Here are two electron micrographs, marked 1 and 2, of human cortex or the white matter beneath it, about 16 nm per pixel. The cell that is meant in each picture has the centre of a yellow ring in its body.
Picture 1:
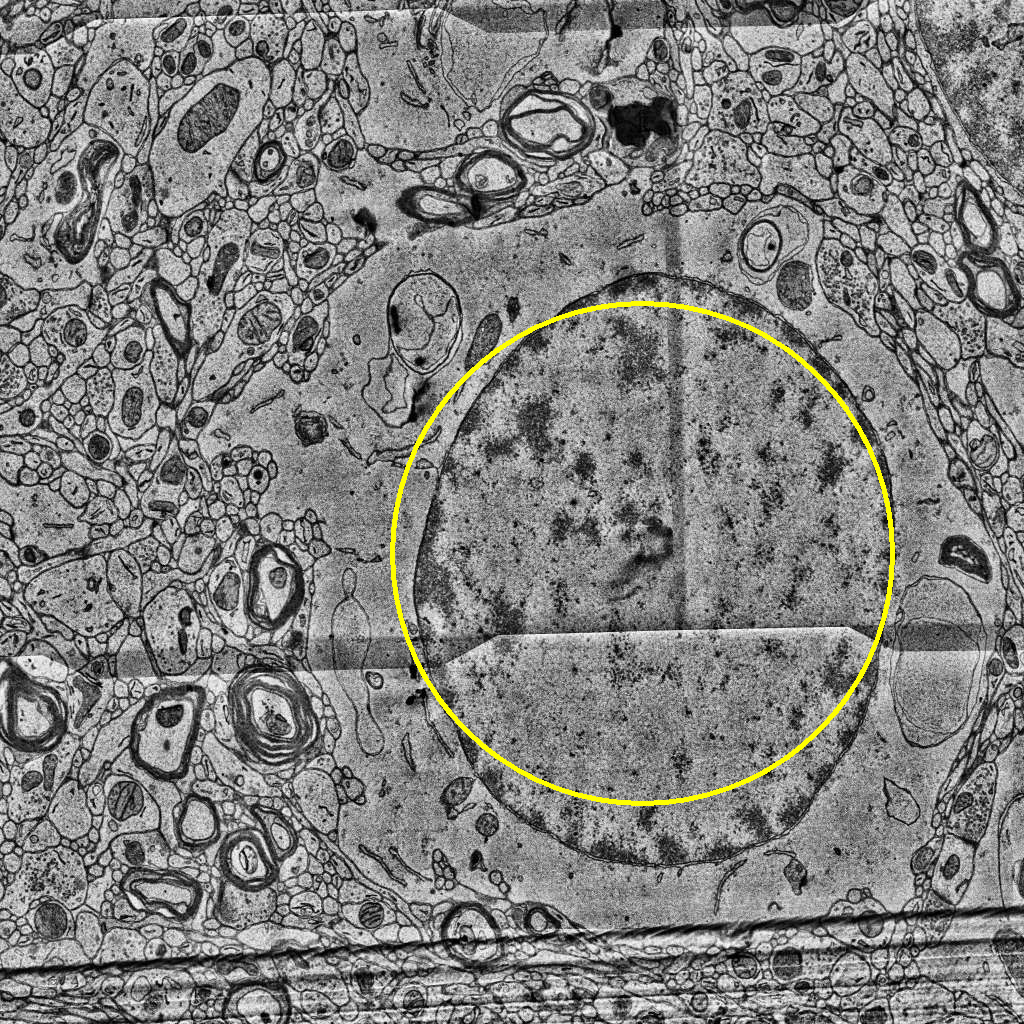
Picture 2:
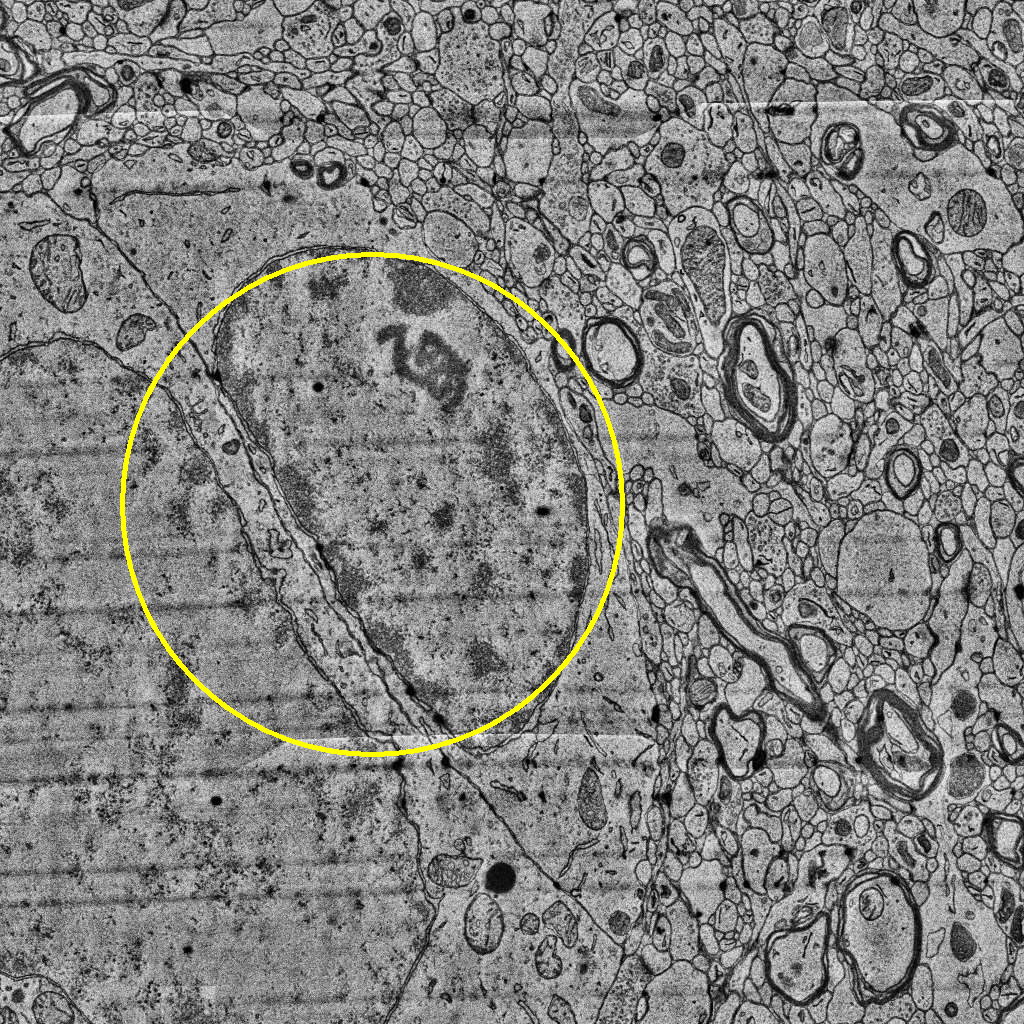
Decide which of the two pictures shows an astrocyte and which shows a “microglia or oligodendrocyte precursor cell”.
In picture 1 the cell is an astrocyte; in picture 2, a “microglia or oligodendrocyte precursor cell”.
